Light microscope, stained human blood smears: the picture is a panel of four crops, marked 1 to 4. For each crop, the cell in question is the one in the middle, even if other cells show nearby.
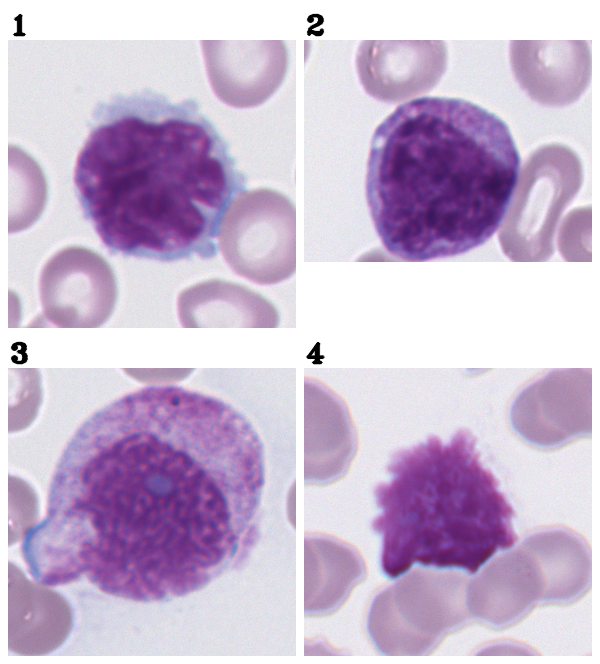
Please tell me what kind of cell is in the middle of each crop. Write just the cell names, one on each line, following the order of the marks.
myeloblast
atypical promyelocyte
atypical promyelocyte
smudge cell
